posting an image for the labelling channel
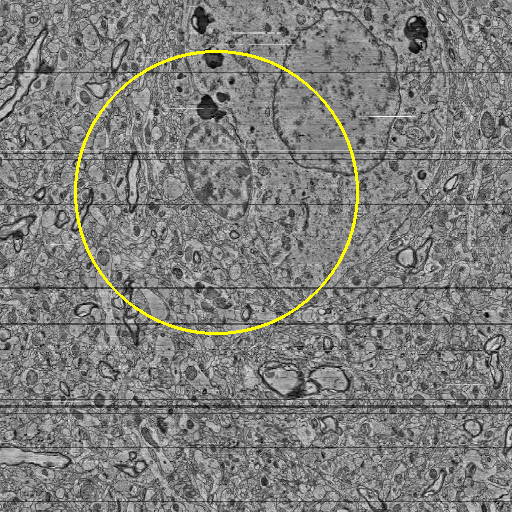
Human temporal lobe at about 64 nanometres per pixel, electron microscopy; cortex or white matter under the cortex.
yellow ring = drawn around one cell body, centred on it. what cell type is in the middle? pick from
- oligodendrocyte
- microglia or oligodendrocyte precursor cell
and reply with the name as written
oligodendrocyte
